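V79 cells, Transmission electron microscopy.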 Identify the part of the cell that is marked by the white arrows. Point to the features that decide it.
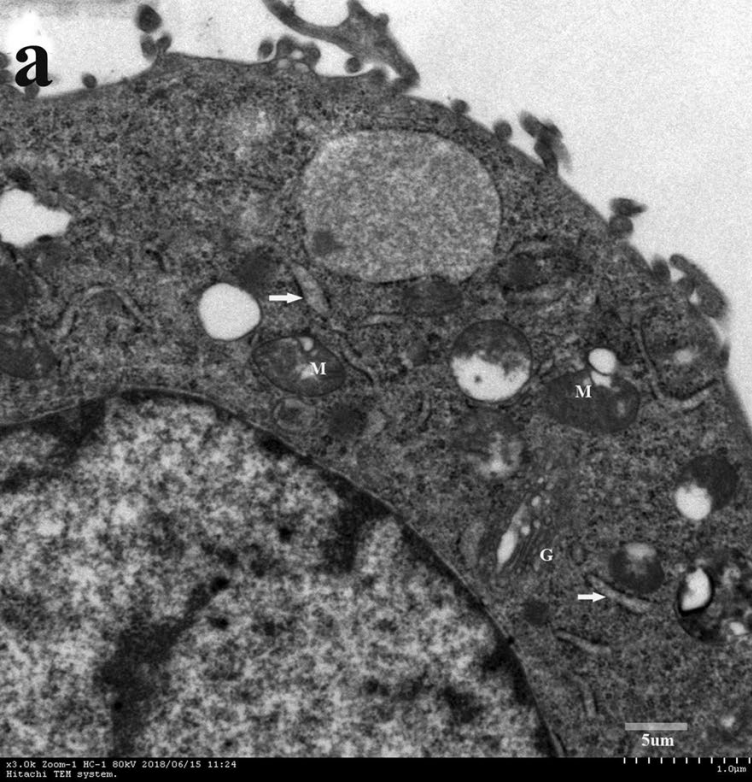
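Endoplasmic reticulum. The arrows point to short, narrow, membrane-bounded tubular profiles in the cytoplasm. These profiles are slender and elongated, unlike the round mitochondria nearby.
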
